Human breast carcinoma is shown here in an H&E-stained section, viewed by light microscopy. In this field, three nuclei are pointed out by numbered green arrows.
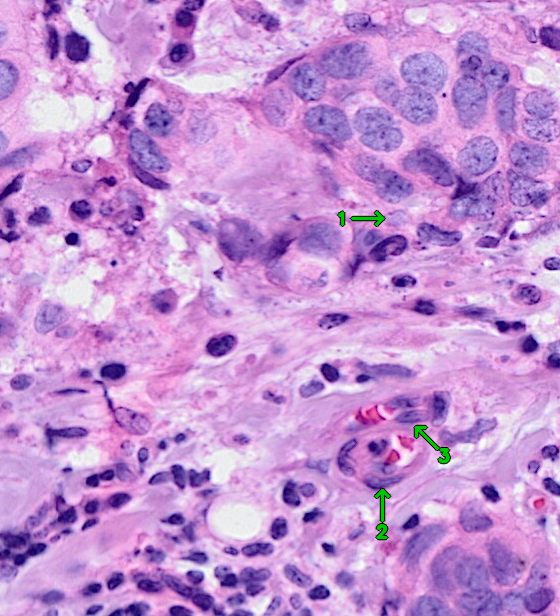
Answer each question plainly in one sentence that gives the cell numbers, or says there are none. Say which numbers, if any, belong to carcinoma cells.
The numbered cells include exactly one that is a carcinoma cell, which is cell 1.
